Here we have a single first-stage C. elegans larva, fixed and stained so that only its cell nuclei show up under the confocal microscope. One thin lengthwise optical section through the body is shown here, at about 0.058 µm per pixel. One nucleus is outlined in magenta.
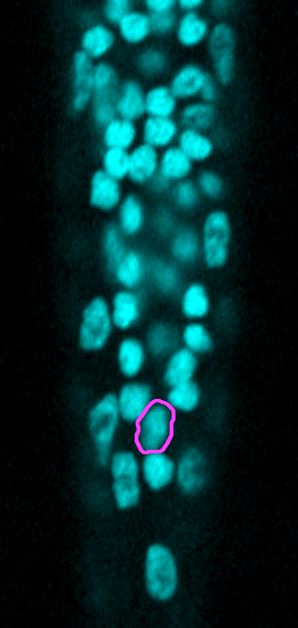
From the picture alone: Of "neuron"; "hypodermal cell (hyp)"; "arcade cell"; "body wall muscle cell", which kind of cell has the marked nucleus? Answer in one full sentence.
This nucleus is from a hypodermal cell (hyp).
